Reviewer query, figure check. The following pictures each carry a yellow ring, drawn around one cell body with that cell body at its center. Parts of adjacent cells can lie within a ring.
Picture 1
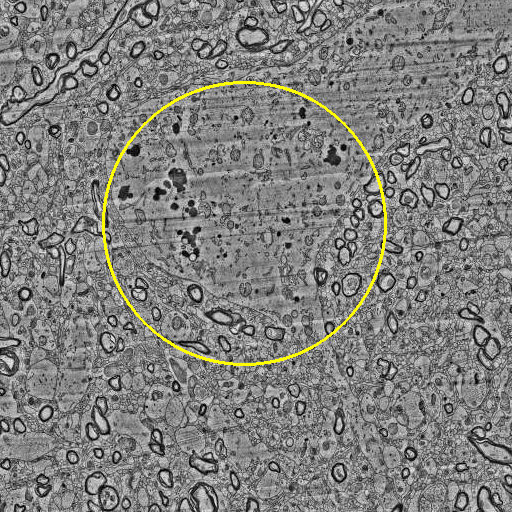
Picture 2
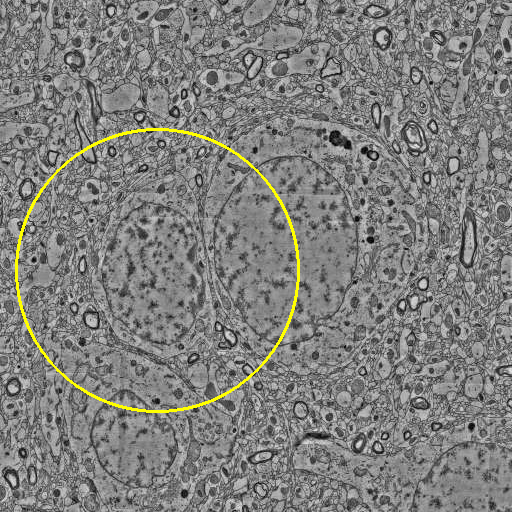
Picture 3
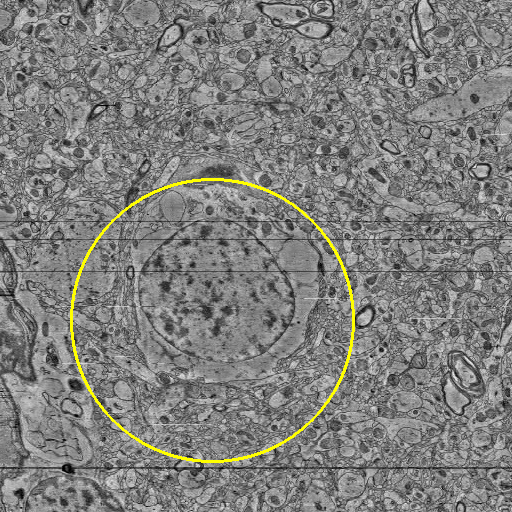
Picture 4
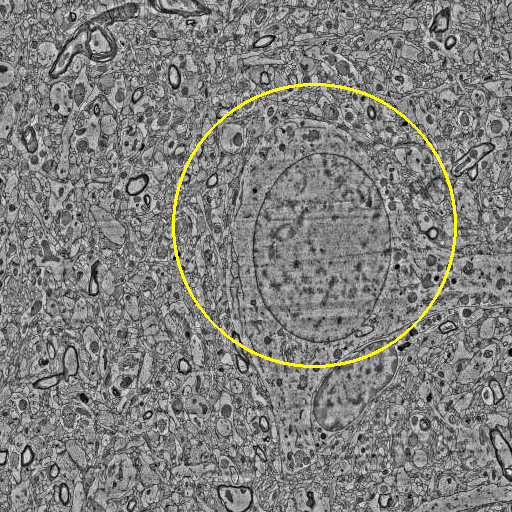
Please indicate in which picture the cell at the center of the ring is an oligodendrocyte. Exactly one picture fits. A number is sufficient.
1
